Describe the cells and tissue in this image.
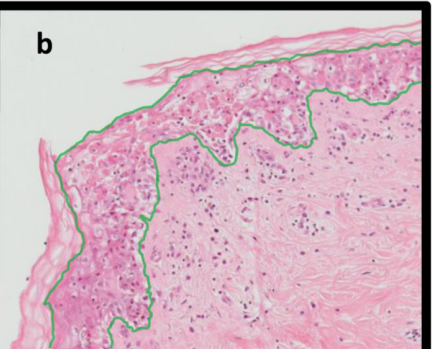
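A stratified squamous epidermis with rete ridges sits on pink, loosely fibrous dermis, with flaky pink keratin on its surface. Many of its keratinocytes have pale, cleared cytoplasm around their purple nuclei, and this pallor is spread through much of the epidermal thickness. A few scattered cells are smaller and more deeply pink. The upper dermis holds scattered small dark nuclei, and the picture is one of diffuse vacuolar change of the epidermis.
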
